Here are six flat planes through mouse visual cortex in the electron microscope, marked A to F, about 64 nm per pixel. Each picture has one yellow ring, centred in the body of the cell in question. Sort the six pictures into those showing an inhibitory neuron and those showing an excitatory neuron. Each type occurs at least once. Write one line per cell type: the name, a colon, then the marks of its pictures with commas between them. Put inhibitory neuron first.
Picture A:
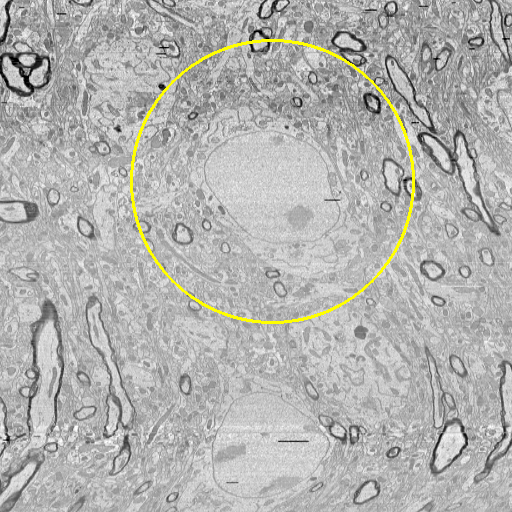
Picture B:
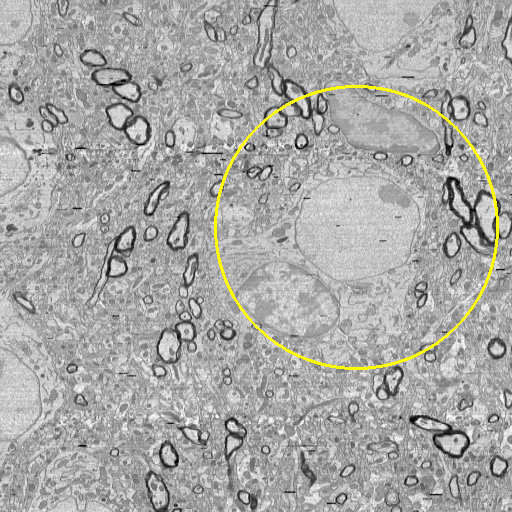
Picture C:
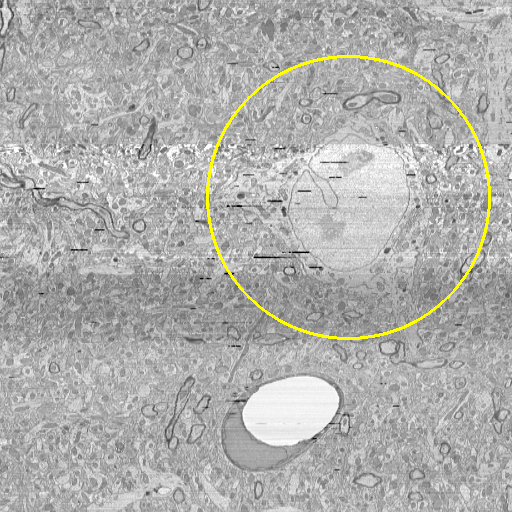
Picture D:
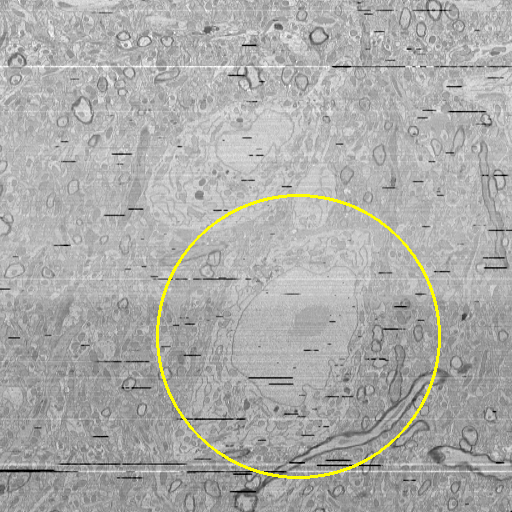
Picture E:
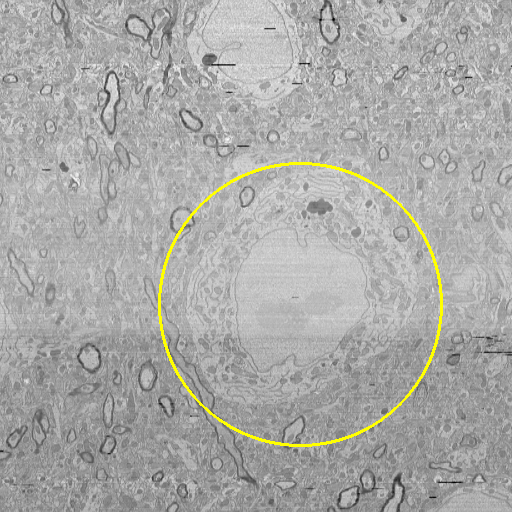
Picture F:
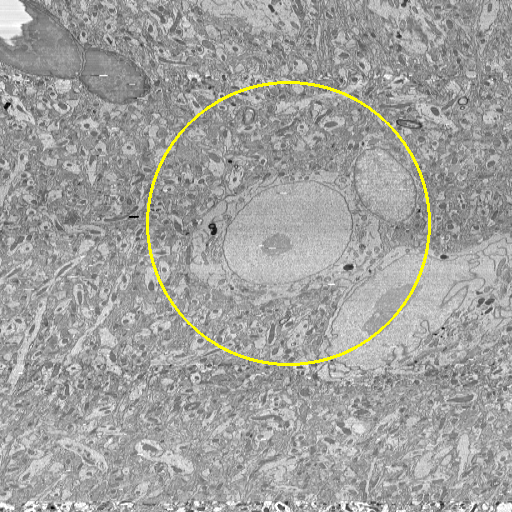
inhibitory neuron: D, E
excitatory neuron: A, B, C, F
